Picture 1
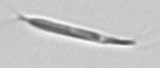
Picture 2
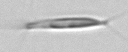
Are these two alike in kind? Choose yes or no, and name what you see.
Yes. Calciosolenia.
